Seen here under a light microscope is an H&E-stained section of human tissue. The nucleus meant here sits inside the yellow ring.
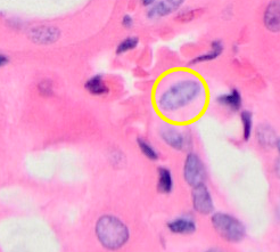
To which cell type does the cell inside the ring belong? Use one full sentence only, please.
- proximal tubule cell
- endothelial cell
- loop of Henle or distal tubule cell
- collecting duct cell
Microscopically, the cell inside the ring is categorized as a collecting duct cell.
